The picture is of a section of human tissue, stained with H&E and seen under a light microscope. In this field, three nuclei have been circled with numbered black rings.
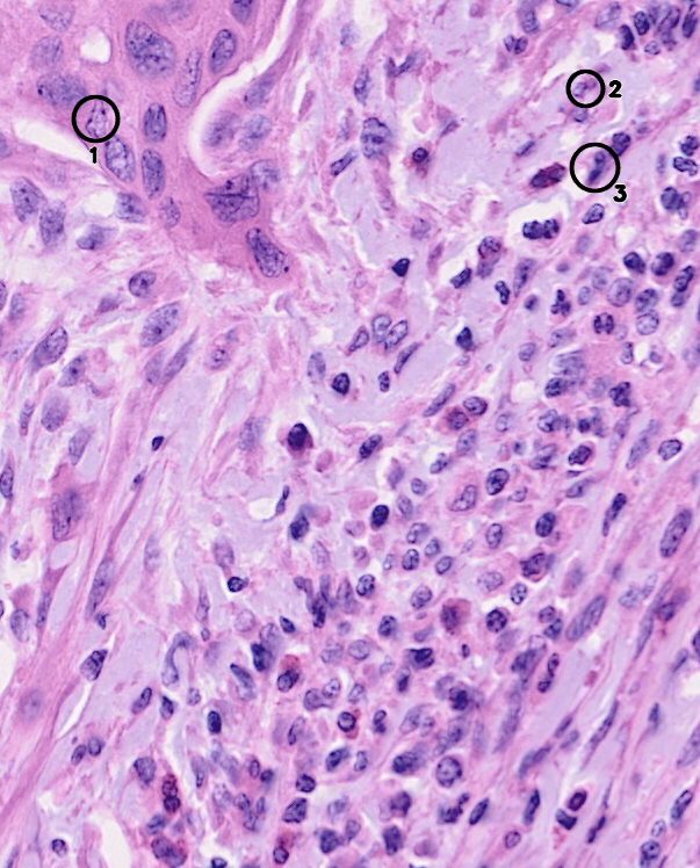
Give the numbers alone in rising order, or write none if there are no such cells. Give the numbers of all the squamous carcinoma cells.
1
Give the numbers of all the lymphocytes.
3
